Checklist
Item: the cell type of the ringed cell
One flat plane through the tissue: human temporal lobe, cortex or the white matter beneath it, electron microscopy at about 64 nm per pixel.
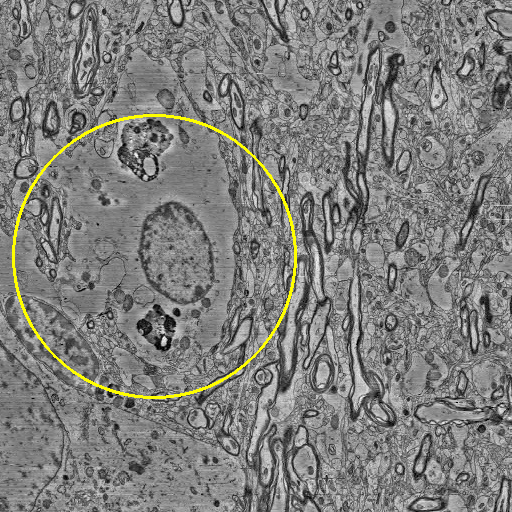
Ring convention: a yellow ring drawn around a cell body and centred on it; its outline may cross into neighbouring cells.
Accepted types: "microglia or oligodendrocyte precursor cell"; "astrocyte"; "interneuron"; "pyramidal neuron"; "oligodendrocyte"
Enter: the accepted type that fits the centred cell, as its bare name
astrocyte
